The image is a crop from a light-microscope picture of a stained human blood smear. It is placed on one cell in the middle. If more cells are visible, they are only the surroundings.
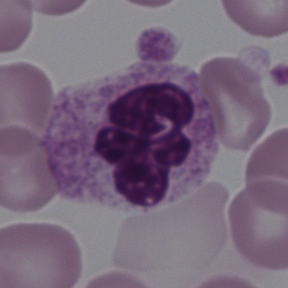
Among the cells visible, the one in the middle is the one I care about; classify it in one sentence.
What the crop centres on is a neutrophil.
